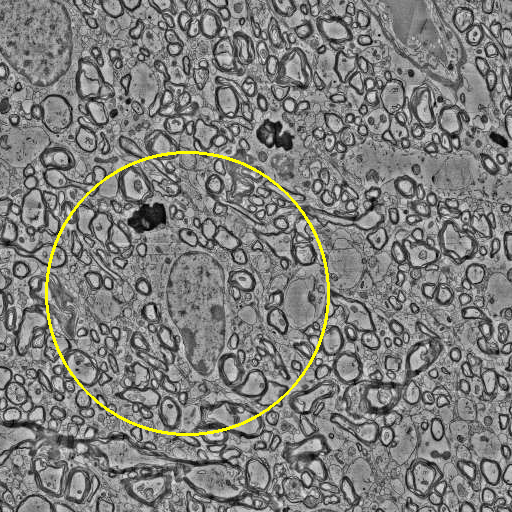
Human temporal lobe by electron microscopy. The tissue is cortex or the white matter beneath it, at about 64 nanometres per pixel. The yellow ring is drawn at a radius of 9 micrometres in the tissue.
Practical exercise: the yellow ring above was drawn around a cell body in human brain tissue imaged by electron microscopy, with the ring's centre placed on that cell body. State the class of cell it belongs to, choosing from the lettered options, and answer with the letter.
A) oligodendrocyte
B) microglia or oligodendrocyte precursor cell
B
